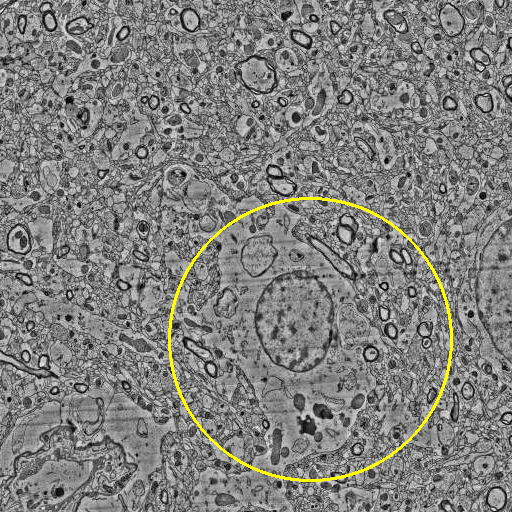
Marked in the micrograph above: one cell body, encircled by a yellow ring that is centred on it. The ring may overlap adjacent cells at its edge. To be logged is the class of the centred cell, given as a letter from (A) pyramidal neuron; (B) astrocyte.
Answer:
B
